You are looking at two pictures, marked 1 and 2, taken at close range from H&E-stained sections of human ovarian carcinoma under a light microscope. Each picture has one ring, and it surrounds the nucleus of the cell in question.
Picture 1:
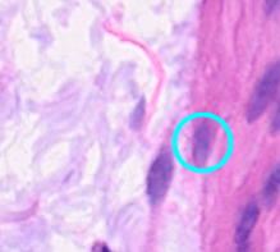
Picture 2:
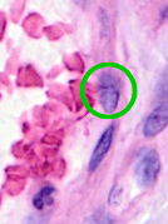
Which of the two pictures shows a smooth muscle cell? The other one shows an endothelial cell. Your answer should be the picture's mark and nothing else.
1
